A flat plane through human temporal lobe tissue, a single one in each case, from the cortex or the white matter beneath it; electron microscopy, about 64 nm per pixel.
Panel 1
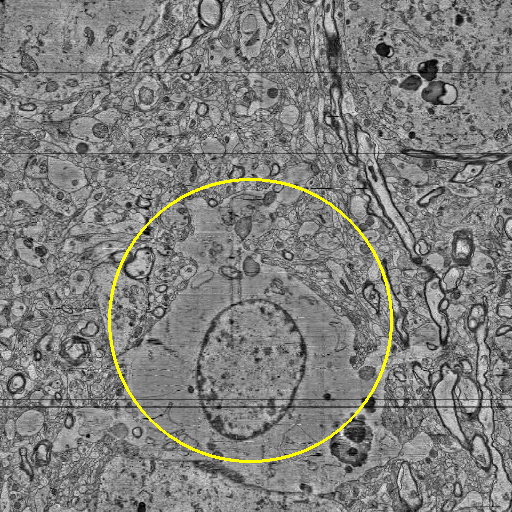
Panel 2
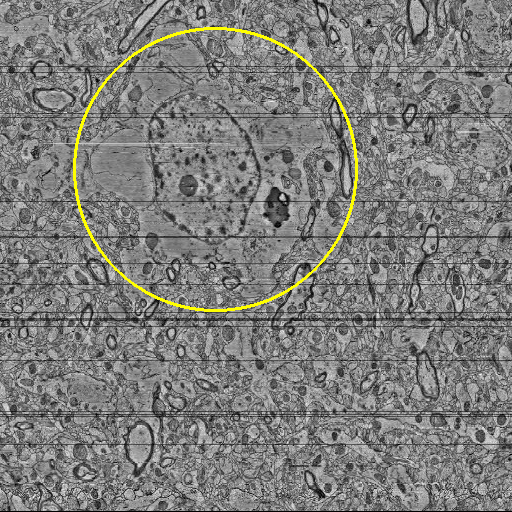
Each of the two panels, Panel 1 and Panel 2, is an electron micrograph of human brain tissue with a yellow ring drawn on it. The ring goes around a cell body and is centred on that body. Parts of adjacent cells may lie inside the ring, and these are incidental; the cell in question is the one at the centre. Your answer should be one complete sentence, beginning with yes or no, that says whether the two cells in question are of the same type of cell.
Yes, the two cells are of the same type.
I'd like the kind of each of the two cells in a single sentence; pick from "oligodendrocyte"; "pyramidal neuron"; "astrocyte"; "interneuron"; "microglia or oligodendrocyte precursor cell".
Each of the two pictures has an astrocyte at the ring centre.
